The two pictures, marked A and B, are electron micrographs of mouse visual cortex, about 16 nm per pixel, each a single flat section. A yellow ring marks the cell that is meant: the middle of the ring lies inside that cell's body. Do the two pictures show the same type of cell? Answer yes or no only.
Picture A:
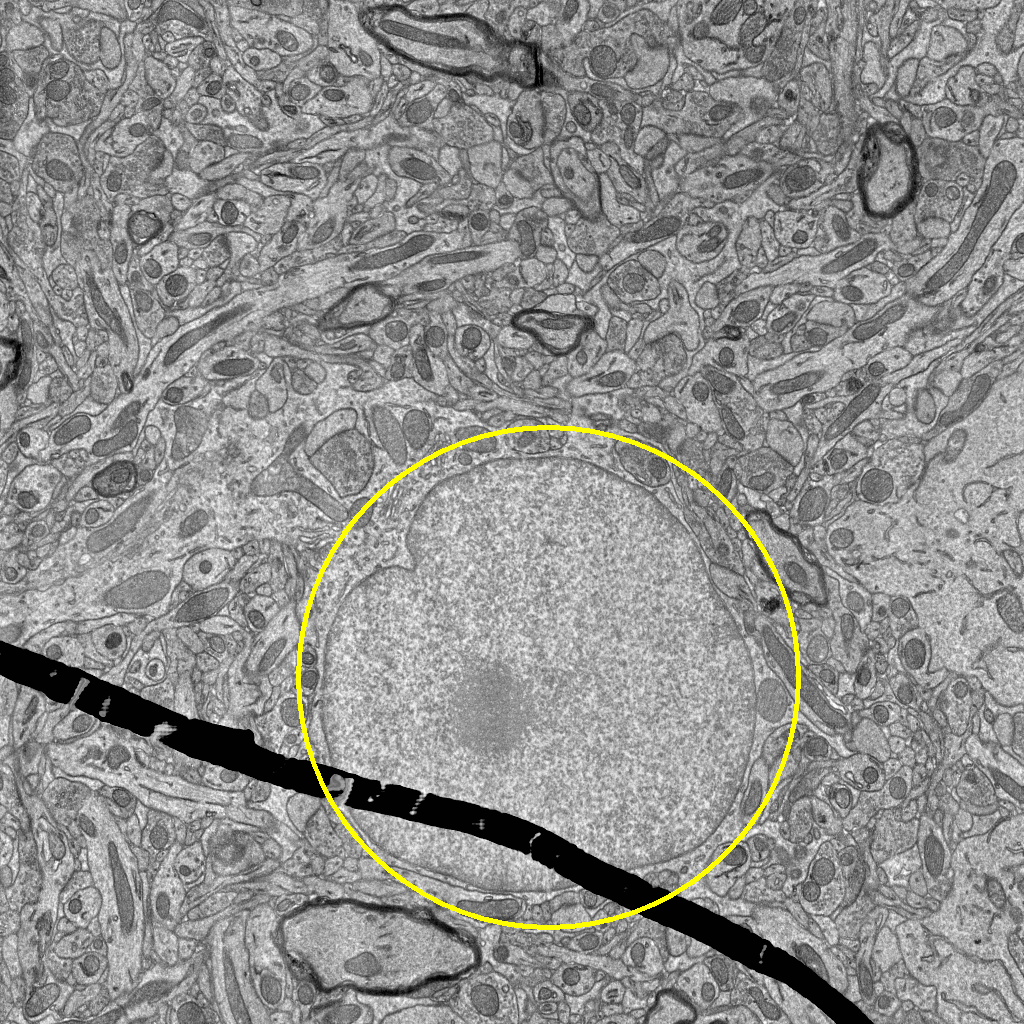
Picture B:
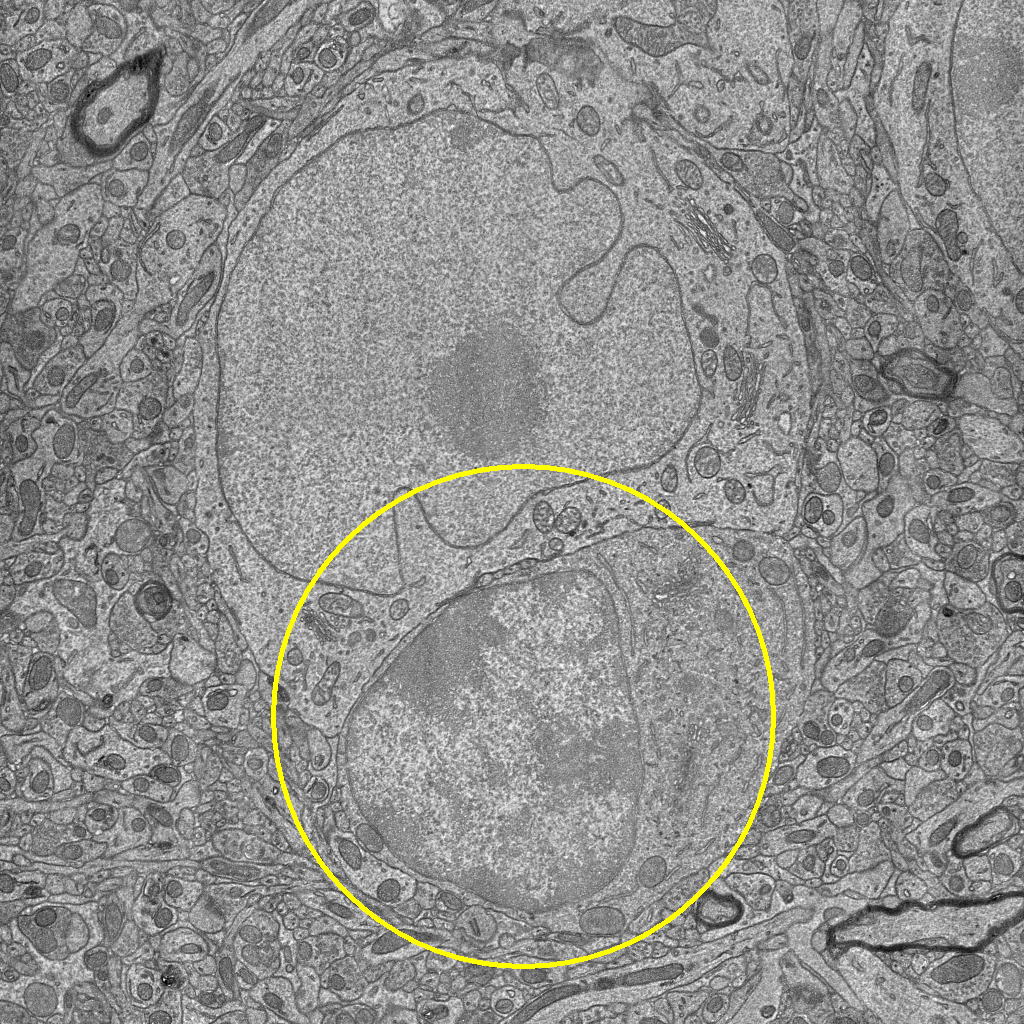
no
